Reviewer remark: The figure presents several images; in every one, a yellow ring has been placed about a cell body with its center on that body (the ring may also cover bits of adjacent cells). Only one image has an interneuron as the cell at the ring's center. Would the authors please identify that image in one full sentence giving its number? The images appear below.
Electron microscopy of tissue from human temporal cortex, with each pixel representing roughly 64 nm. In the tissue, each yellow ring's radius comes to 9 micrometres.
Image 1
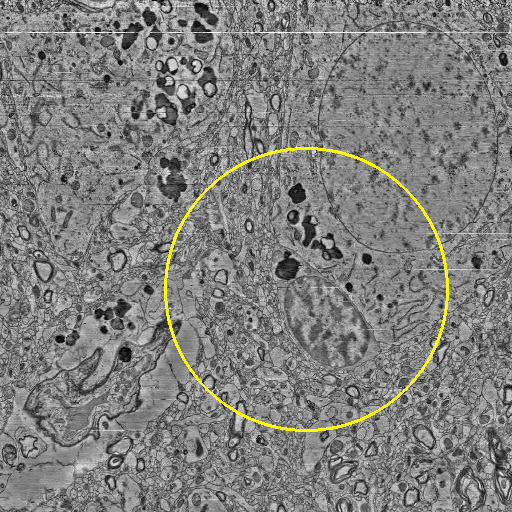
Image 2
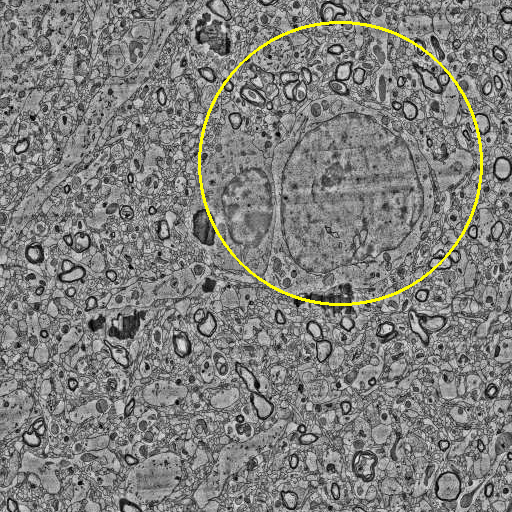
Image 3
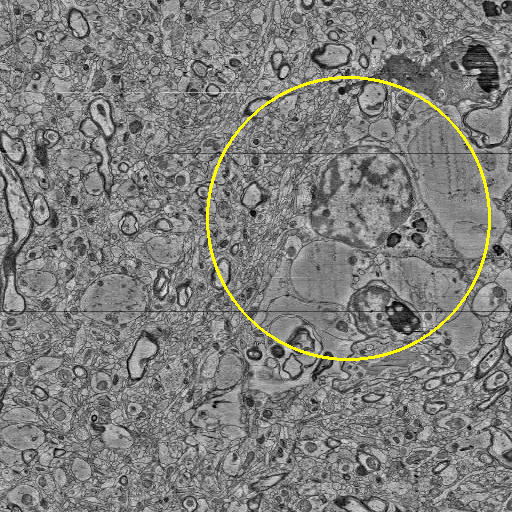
The ring's central cell in image 2 is the one the question describes.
